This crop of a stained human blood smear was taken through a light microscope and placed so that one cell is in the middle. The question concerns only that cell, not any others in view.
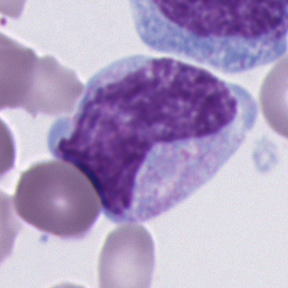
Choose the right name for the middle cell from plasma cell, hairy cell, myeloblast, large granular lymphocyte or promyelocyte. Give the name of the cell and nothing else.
promyelocyte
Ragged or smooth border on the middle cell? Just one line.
Smoothness is lacking at the edge, which is ragged in places or drawn into projections.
